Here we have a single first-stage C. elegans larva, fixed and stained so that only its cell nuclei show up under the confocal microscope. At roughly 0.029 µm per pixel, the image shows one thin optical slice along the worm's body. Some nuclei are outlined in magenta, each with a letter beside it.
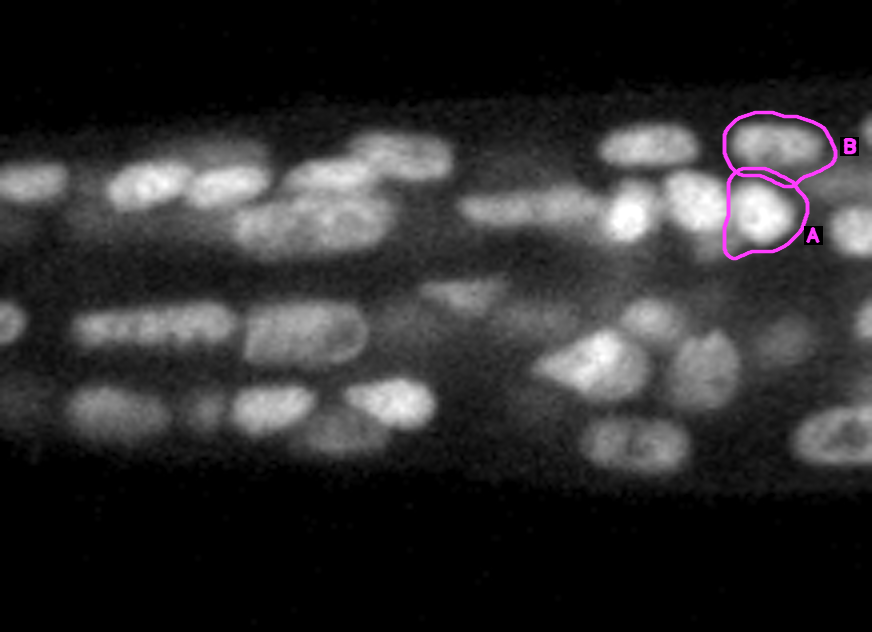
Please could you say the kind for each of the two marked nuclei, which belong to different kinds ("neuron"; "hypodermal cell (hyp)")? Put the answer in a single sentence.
Nucleus A comes from a neuron and nucleus B from a hypodermal cell (hyp).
